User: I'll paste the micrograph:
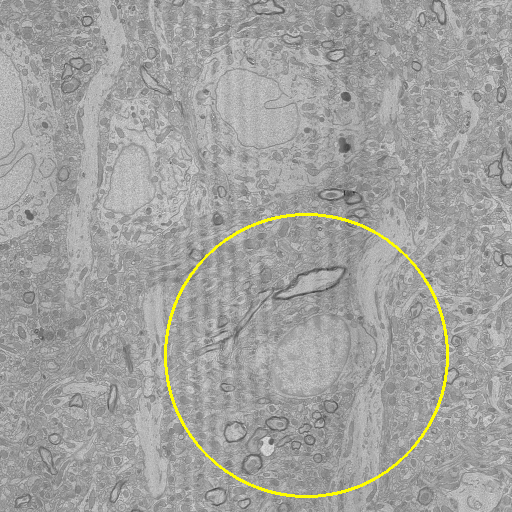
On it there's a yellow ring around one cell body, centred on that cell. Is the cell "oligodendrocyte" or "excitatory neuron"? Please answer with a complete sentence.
The cell ringed in yellow is an oligodendrocyte.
